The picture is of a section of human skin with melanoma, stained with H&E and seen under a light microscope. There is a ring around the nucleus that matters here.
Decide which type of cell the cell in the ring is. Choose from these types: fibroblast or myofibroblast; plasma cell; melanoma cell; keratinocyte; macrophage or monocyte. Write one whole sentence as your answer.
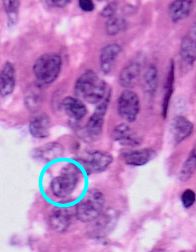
Placed in its cell category, the cell in the ring is a melanoma cell.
